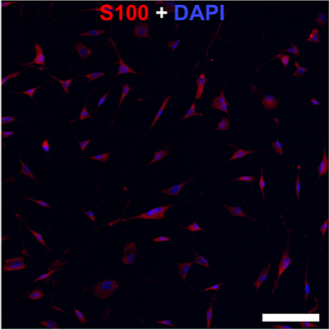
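These are cultured Schwann cells, shown with a red cytoplasmic stain and blue nuclei on a dark background. Nearly every cell carries the red label, filling the cell body around a single oval blue nucleus. The cells are elongated, many spindle-shaped or bipolar, with tapering red processes extending from either end; some are more triangular. They are spread fairly evenly across the field, mostly separate from one another, with only occasional contacts between neighbouring processes. Hardly any blue nuclei lack surrounding red, suggesting a nearly pure population.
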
